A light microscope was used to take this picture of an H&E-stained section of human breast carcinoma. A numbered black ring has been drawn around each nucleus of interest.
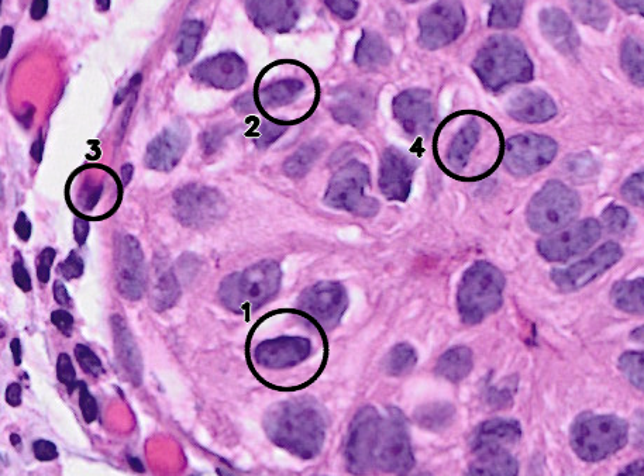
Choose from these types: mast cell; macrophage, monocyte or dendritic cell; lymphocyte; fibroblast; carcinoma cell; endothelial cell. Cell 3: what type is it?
endothelial cell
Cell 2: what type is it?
carcinoma cell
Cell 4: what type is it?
carcinoma cell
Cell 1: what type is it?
carcinoma cell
